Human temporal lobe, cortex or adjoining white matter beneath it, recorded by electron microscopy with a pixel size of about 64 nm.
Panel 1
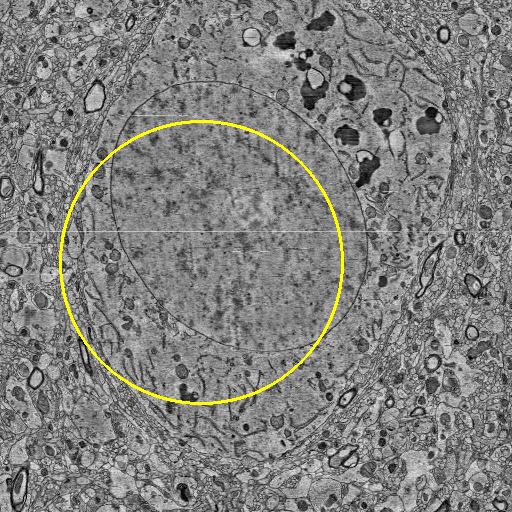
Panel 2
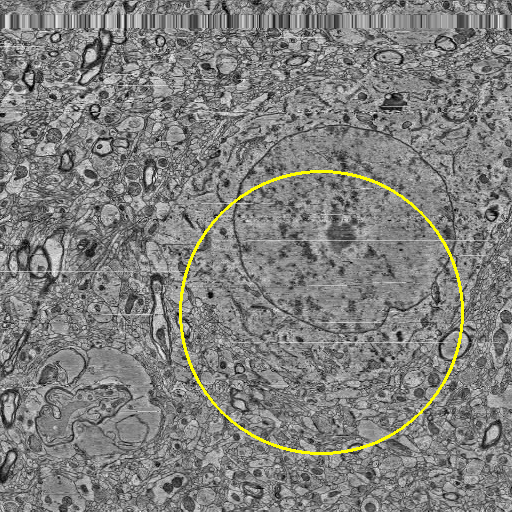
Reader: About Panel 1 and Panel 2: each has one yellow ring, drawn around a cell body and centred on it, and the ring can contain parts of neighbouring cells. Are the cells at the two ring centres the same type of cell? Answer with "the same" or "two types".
the same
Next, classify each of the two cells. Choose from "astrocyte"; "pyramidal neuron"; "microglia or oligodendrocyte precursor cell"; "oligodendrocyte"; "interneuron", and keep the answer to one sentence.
Both pictures show a pyramidal neuron at the centre of the ring.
